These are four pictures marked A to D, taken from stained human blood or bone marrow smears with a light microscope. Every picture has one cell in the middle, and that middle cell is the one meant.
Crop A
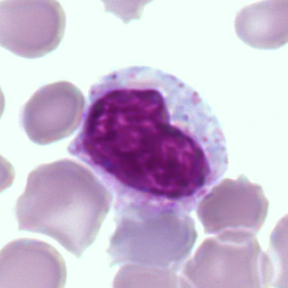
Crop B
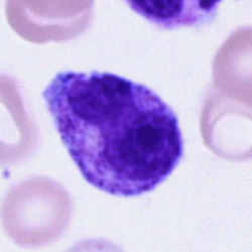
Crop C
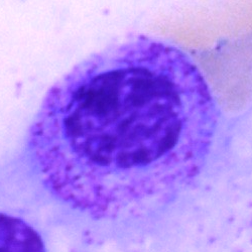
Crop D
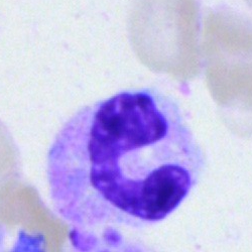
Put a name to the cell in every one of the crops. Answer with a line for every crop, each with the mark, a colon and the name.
A: metamyelocyte
B: metamyelocyte
C: myelocyte
D: band neutrophil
